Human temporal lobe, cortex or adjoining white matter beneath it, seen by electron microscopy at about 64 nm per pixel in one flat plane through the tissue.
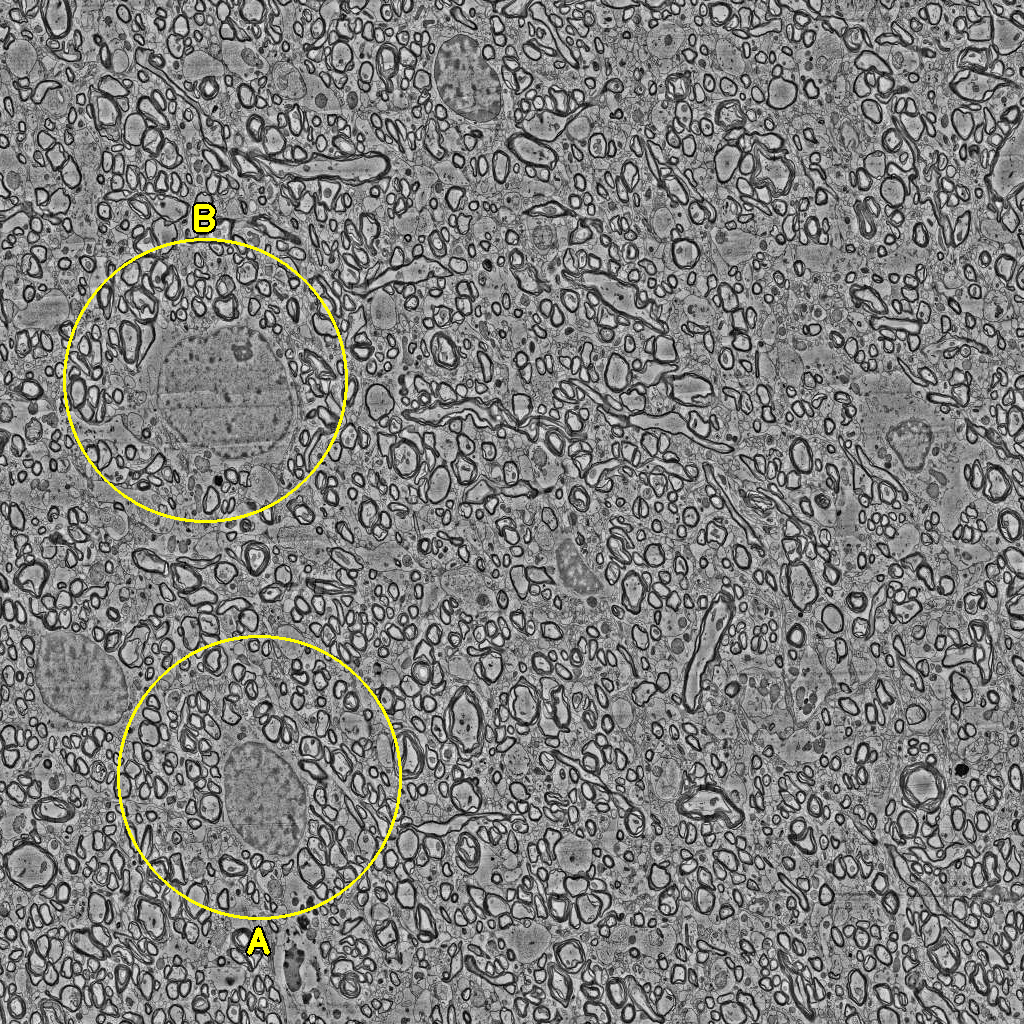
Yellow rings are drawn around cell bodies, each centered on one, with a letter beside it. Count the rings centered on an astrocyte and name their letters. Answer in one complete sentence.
Only one ring in the micrograph is centred on an astrocyte, and its letter is B.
